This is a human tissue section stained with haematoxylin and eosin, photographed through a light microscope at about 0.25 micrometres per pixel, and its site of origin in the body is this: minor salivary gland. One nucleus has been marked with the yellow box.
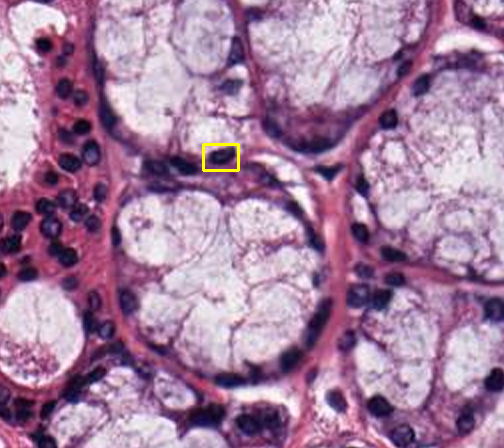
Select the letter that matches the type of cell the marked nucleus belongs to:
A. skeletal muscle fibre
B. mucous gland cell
B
